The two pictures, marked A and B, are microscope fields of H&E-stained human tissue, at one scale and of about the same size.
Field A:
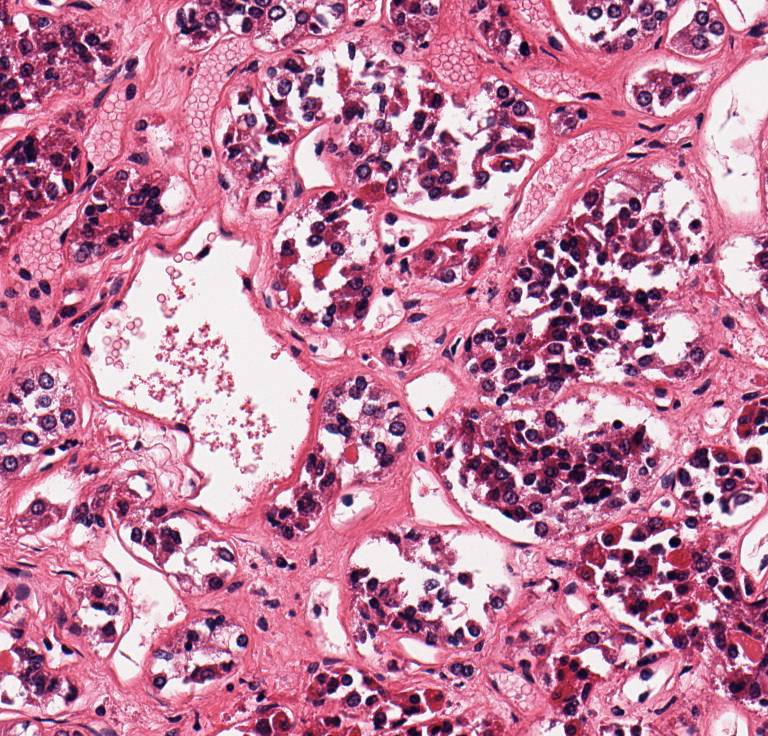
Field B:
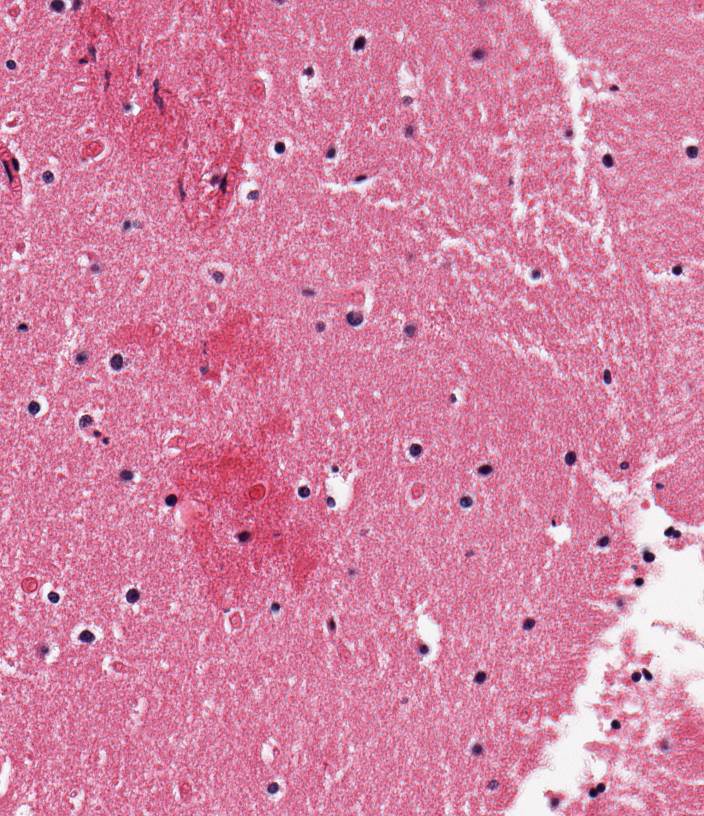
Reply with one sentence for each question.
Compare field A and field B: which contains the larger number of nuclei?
Field A holds more nuclei than field B.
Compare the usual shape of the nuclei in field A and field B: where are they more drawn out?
Longer, more slender nuclei lie in field A.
